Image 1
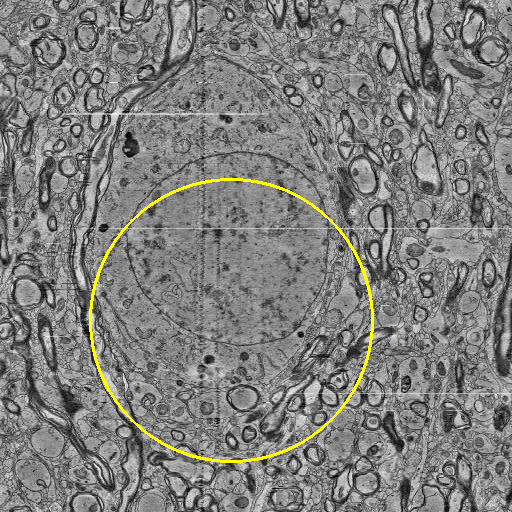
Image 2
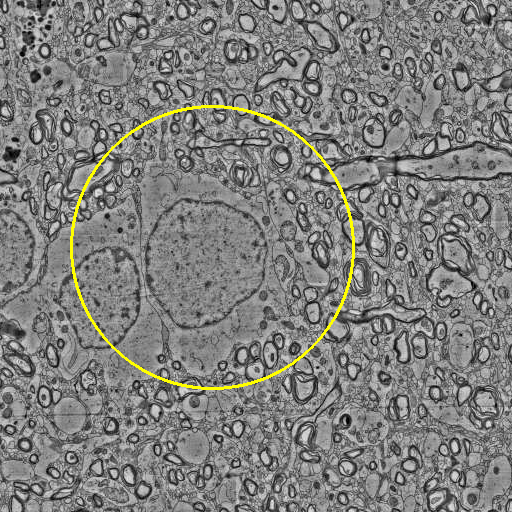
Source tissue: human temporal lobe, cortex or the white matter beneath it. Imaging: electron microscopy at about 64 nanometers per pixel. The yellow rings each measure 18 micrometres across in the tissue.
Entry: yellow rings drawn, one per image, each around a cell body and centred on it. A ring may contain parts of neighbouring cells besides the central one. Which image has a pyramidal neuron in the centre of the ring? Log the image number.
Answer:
1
